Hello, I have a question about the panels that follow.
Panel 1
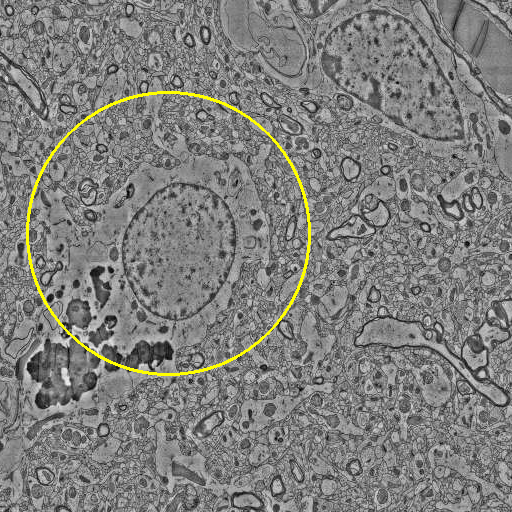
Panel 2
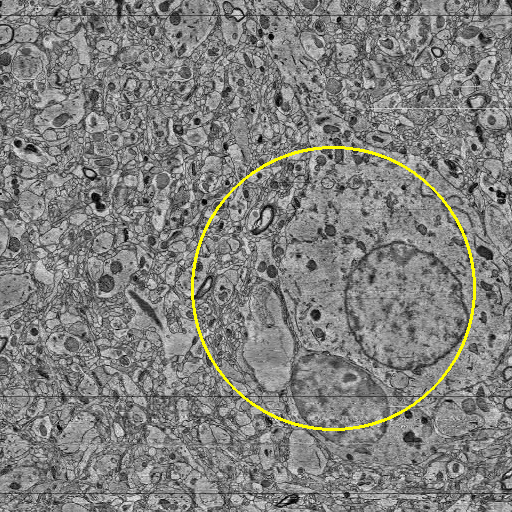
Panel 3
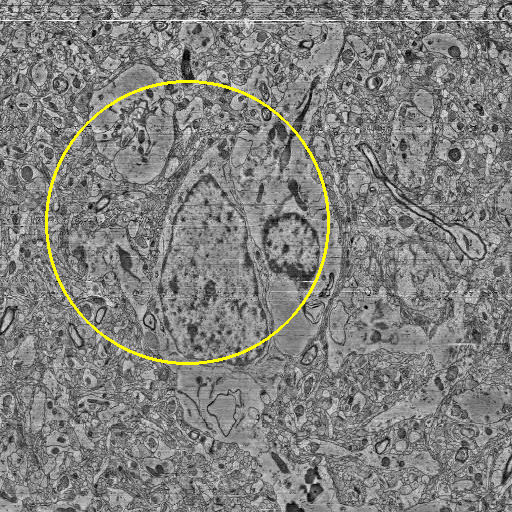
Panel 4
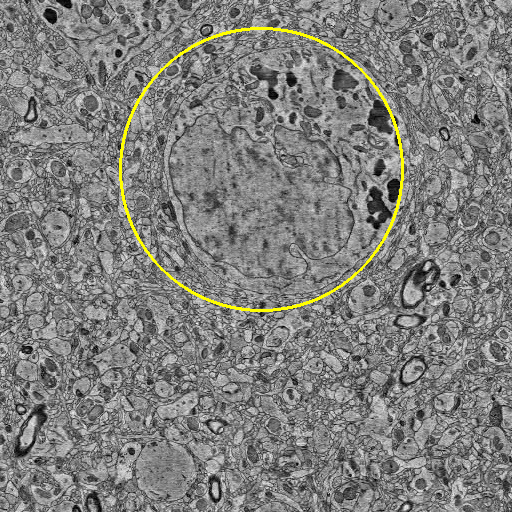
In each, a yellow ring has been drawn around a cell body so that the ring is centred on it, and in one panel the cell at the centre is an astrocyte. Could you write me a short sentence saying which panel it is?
It is Panel 1.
